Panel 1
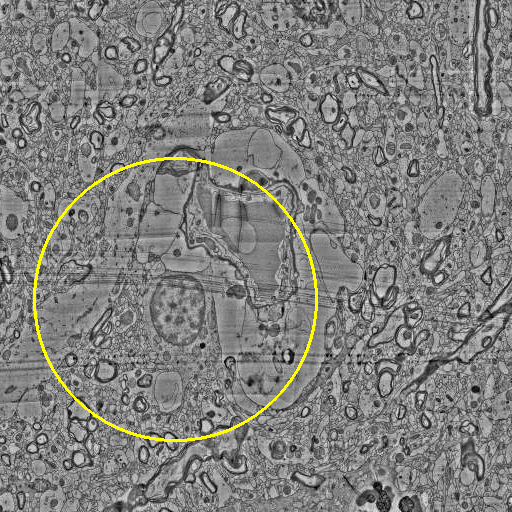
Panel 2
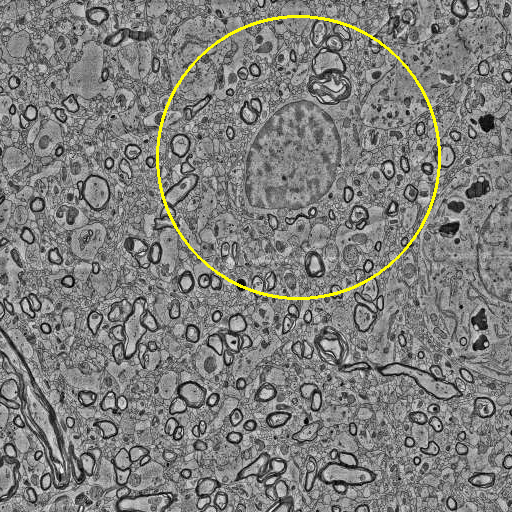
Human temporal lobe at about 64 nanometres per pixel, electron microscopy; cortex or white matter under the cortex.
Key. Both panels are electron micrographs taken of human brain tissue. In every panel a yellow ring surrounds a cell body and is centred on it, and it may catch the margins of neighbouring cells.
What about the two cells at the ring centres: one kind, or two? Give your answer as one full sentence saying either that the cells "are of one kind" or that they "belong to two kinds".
Across Panels 1 and 2, the two cells at the ring centres are of one kind.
